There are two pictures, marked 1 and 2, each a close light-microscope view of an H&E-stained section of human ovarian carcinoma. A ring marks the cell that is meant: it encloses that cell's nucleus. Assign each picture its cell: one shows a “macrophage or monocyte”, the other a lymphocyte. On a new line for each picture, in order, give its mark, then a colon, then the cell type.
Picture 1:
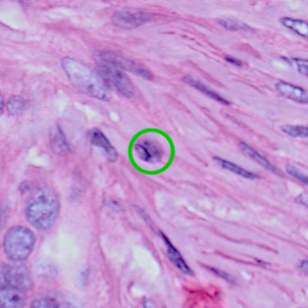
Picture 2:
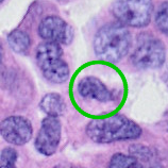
1: lymphocyte
2: macrophage or monocyte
